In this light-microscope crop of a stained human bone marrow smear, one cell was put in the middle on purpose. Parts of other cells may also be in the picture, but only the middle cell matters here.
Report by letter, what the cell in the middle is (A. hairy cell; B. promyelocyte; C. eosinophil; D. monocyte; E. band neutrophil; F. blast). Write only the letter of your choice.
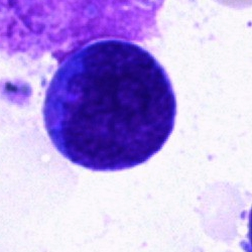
F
